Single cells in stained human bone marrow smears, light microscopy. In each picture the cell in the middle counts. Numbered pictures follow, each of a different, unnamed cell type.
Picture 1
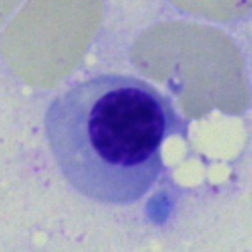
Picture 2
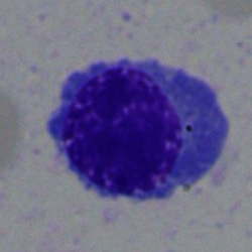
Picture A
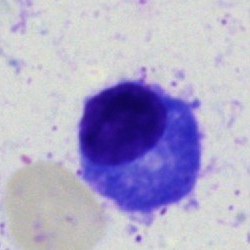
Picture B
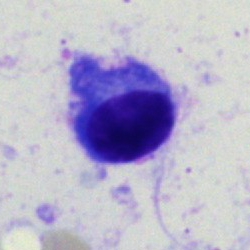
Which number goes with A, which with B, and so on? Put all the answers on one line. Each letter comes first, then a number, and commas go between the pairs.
A 2, B 2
